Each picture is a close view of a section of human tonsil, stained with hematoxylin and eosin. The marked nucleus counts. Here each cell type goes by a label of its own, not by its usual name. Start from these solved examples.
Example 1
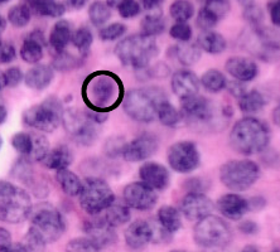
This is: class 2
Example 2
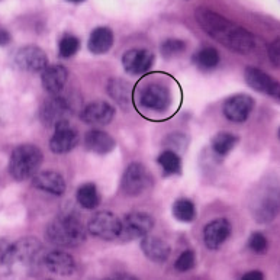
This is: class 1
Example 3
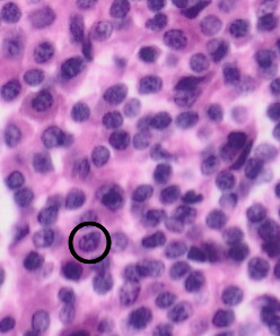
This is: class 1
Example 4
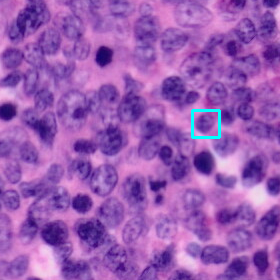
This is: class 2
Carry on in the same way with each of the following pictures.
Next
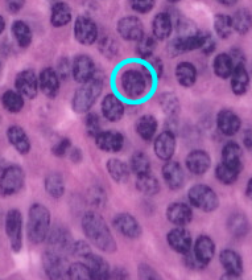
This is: class 1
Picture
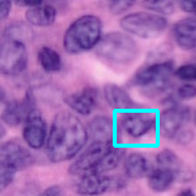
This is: class 2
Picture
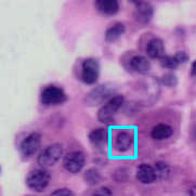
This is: class 1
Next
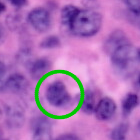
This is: class 2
